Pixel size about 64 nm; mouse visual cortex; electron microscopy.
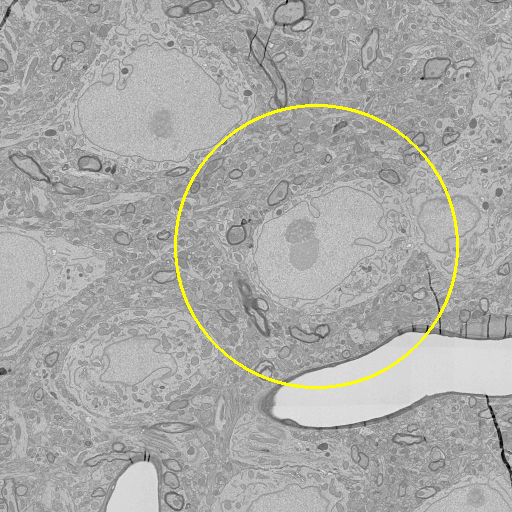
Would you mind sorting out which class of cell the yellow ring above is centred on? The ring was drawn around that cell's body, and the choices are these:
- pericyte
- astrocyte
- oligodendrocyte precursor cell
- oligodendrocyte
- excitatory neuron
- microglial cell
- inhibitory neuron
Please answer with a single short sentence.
This is the cell body of an inhibitory neuron.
